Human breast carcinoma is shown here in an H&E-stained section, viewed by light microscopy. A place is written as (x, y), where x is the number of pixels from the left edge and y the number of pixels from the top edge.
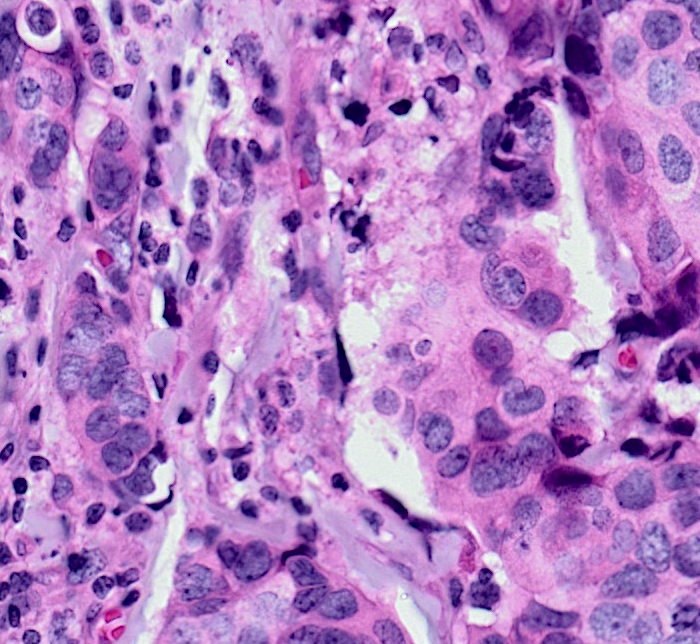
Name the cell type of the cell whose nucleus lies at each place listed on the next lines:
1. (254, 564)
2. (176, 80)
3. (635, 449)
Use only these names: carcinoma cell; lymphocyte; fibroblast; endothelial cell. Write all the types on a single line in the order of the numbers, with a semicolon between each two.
carcinoma cell; lymphocyte; carcinoma cell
